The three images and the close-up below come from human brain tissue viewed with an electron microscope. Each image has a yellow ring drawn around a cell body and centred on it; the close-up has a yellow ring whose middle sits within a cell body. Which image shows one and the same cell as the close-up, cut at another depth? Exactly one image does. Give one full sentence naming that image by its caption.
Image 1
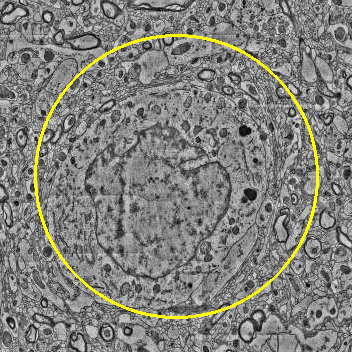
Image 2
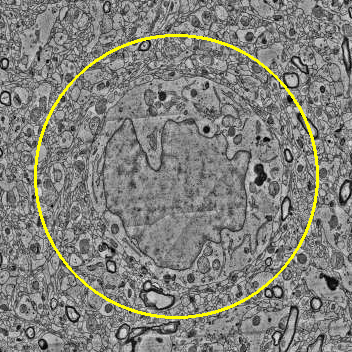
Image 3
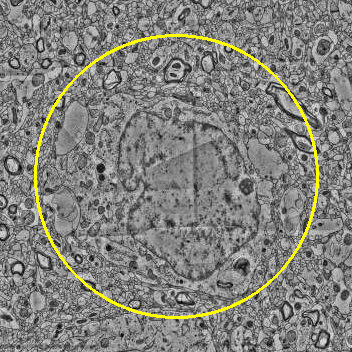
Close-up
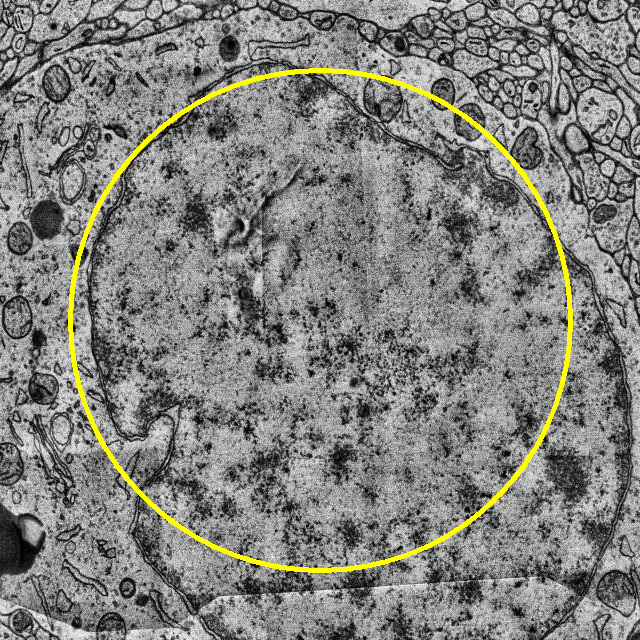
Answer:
The cell shown in the close-up is the one marked in Image 3.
